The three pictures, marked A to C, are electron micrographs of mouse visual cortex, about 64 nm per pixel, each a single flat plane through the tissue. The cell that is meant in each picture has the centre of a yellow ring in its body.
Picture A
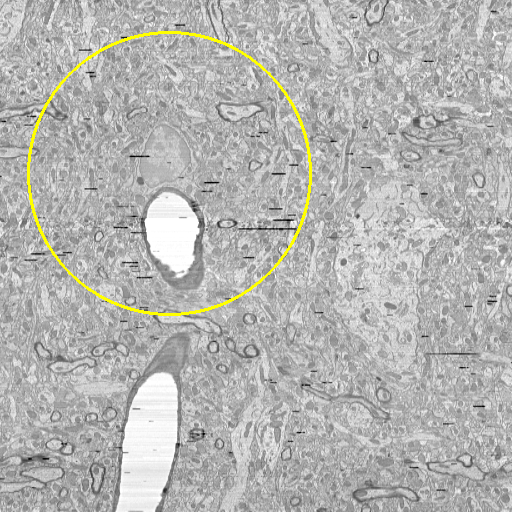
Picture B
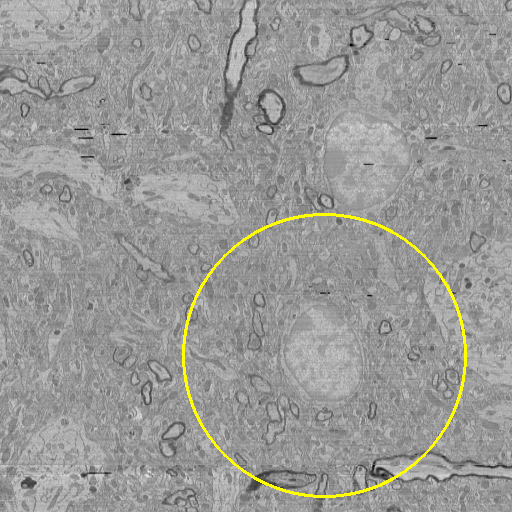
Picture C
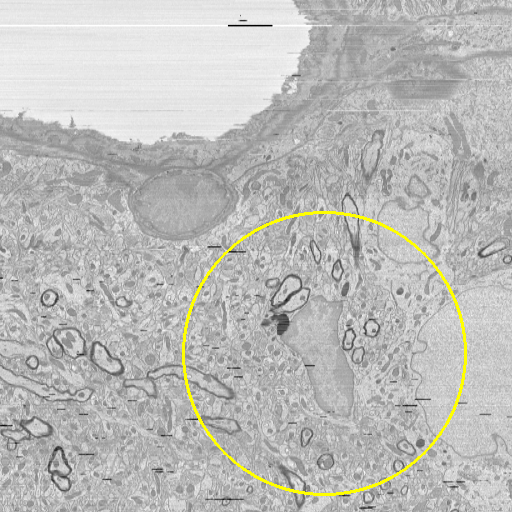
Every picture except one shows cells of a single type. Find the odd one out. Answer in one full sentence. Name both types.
The different one is picture B; it shows an oligodendrocyte, whereas all the others show microglial cells.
